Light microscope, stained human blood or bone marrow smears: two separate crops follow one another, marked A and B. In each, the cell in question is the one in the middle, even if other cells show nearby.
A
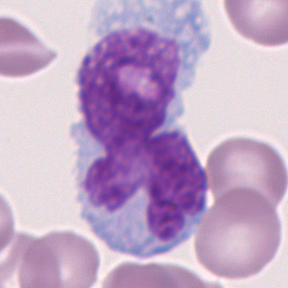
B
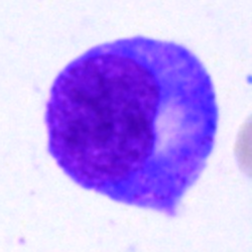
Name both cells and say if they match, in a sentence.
No, what crop A shows is a monocyte, and what crop B shows is a promyelocyte.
